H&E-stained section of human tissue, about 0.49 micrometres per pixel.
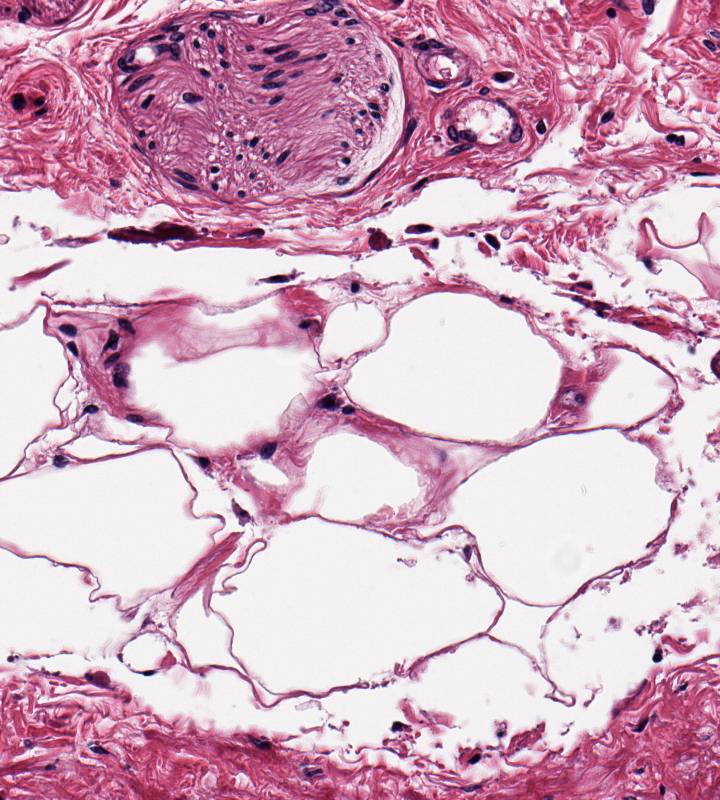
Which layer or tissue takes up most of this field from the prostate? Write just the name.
fat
